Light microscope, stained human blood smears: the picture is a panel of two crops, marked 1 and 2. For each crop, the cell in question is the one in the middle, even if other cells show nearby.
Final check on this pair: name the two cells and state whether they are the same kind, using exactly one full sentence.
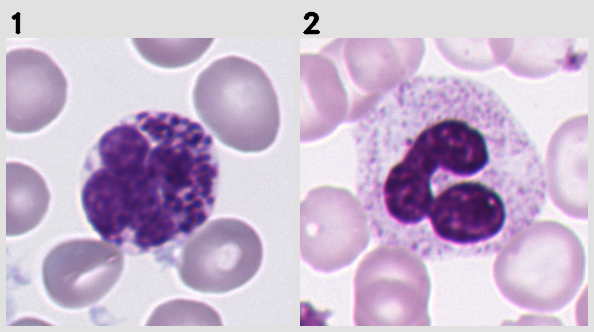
No, in fact crop 1 shows a basophil, and crop 2 shows a segmented neutrophil.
